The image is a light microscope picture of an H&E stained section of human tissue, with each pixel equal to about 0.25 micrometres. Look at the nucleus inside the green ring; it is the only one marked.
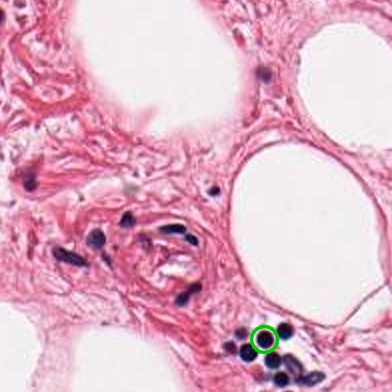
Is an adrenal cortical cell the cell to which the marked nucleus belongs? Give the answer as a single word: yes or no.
no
